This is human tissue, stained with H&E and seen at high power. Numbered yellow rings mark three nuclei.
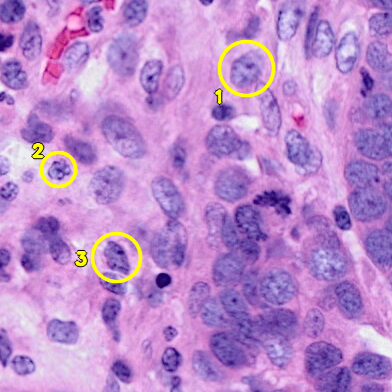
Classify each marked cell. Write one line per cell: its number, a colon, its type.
1: fibroblast
2: lymphocyte
3: macrophage or monocyte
